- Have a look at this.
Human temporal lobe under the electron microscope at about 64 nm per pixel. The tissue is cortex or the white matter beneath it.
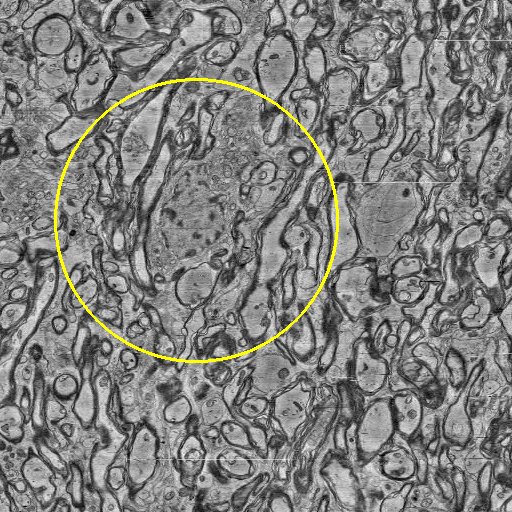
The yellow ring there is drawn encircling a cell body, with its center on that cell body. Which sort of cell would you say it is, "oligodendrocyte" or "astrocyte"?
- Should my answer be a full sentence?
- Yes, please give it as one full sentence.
For this picture, an astrocyte is the cell where the yellow ring has its center.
